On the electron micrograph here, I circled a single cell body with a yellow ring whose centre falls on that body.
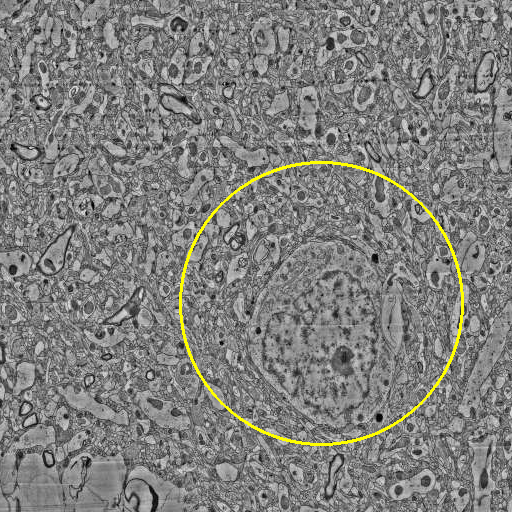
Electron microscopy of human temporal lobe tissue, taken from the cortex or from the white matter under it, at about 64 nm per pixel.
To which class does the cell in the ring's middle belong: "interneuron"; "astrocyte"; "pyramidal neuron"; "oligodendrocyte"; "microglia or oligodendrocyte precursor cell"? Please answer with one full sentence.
In this picture, the cell body circled at the ring's centre belongs to an interneuron.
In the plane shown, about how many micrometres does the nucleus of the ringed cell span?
The nucleus works out at approximately 9 by 7 micrometres in this plane.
